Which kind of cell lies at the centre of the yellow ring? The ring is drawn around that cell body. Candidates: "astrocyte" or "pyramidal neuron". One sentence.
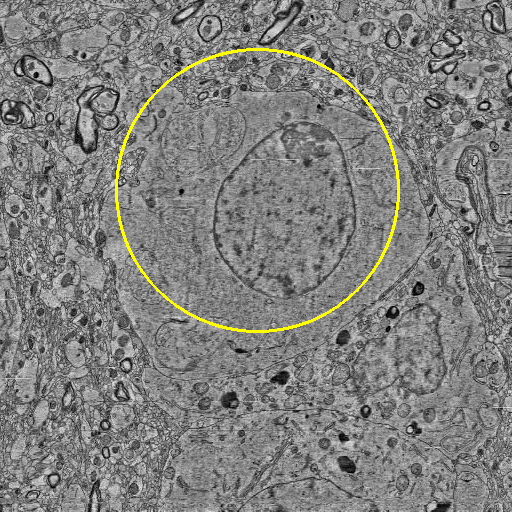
Lying at the centre of the ring is an astrocyte.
